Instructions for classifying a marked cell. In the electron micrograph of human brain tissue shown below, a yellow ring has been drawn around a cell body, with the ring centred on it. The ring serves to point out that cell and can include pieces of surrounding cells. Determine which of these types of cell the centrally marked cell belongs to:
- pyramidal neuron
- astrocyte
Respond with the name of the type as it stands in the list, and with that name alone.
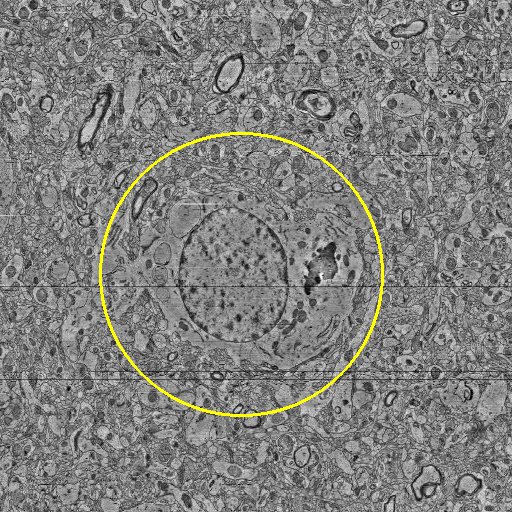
astrocyte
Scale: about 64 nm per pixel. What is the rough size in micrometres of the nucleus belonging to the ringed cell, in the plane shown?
In this plane, roughly 9 by 7 micrometres.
